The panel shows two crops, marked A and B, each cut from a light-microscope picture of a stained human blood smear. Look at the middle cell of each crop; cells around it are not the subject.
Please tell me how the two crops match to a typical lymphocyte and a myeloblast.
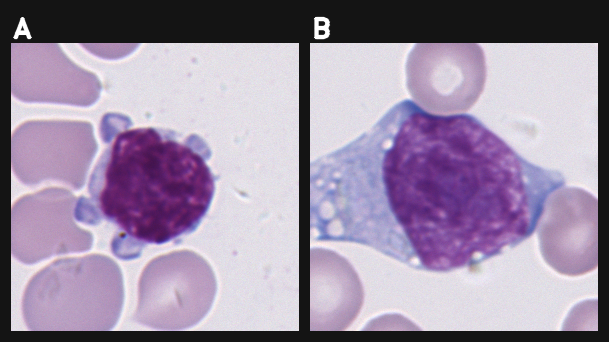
A: typical lymphocyte
B: myeloblast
